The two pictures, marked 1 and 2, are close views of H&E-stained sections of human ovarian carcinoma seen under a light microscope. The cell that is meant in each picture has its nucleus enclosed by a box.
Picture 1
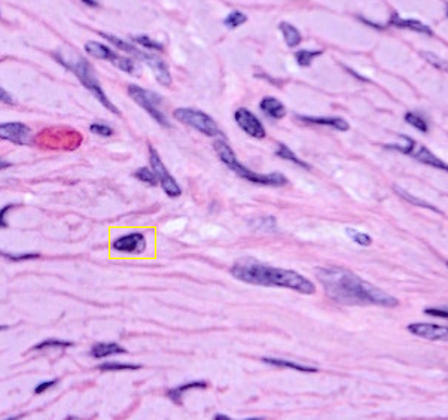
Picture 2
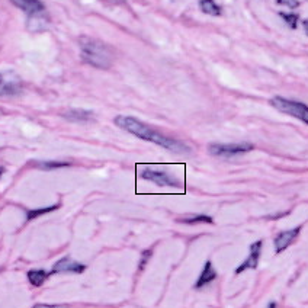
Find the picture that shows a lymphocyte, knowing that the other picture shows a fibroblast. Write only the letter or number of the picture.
1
